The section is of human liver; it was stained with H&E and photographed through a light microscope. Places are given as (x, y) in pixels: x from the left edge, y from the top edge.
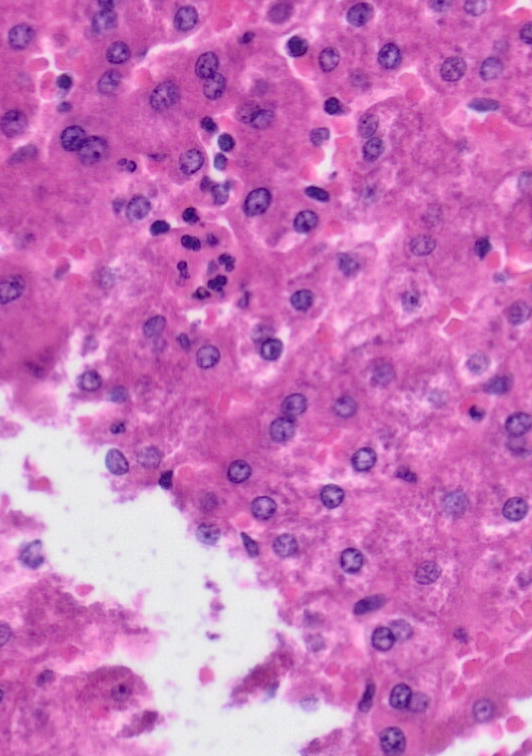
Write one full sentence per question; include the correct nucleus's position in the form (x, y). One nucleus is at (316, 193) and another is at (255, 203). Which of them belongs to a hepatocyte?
Here the nucleus at (255, 203) is the one that belongs to a hepatocyte.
